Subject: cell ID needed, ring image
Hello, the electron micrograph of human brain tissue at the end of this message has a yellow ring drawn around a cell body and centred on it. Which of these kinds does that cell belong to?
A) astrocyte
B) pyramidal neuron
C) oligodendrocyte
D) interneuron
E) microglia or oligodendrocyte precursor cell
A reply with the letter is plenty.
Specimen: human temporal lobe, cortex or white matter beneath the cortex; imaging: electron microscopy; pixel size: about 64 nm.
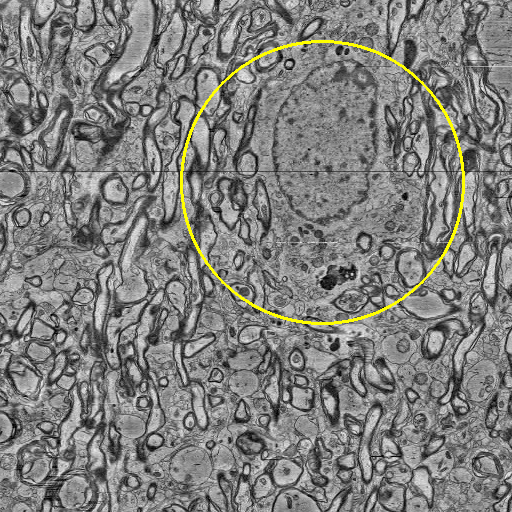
A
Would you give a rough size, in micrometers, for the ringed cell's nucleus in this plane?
In this plane the nucleus is clearly longer than it is wide, at approximately 11 by 7 micrometres.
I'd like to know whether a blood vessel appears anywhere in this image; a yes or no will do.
No.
